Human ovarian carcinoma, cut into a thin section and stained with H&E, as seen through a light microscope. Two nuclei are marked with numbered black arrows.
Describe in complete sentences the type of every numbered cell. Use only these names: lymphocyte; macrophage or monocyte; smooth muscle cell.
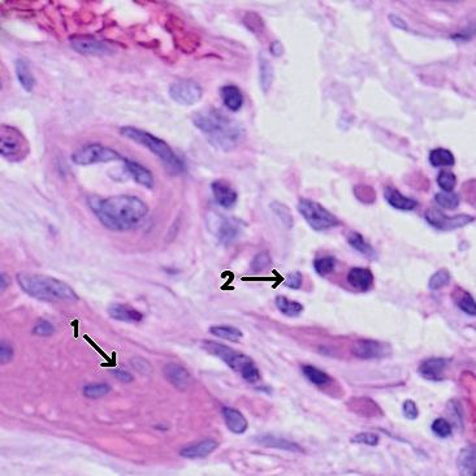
Cell 1 is a smooth muscle cell and cell 2 is a lymphocyte.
